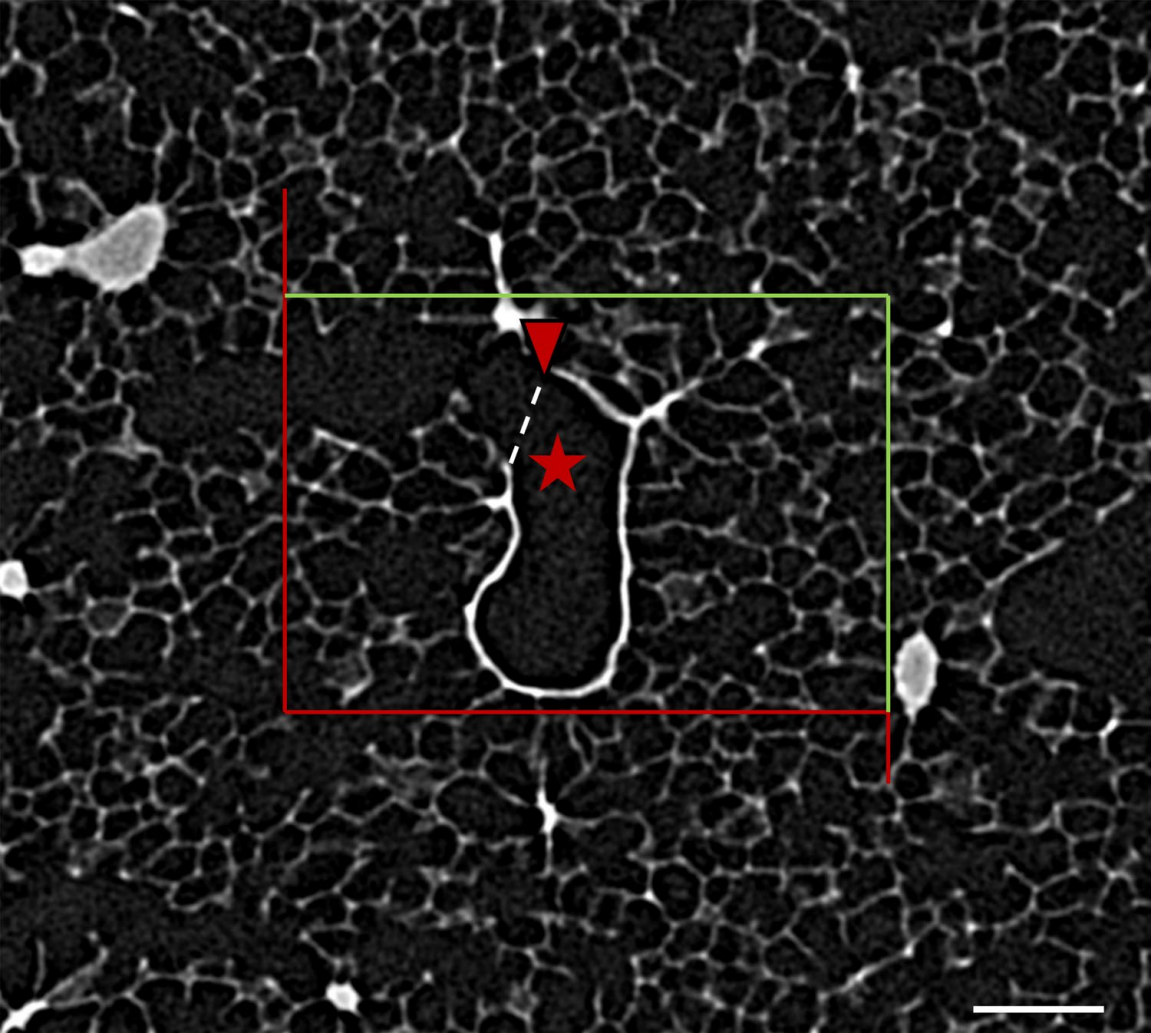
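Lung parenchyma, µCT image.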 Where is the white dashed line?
bronchiole-alveolar duct junction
